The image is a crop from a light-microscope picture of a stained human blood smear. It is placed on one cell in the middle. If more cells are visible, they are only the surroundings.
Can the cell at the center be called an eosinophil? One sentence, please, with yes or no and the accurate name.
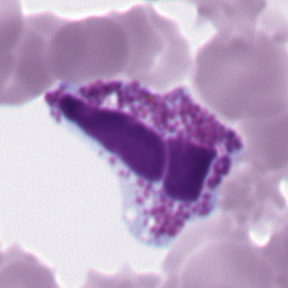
Yes, an eosinophil occupies the middle of the crop.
